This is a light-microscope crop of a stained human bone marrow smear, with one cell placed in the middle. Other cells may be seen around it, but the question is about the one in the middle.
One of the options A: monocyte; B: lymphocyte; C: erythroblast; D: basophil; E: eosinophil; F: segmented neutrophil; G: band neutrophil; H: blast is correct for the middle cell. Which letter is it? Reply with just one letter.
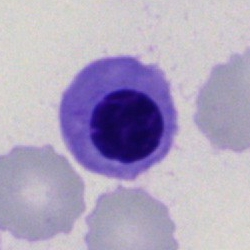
C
